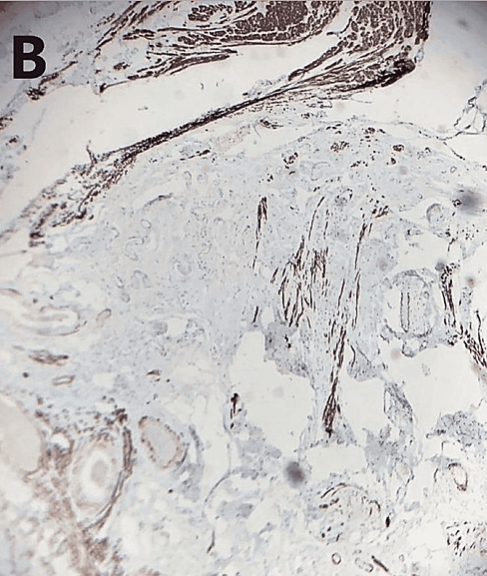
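This low-power section shows a loose, pale, partly empty-looking stroma beneath a strongly brown-stained band of muscle bundles across the top. Within the pale area, a few slender brown strands run in a roughly vertical direction near the centre and right. Rounded vessel profiles at the lower left and right are only faintly stained.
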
